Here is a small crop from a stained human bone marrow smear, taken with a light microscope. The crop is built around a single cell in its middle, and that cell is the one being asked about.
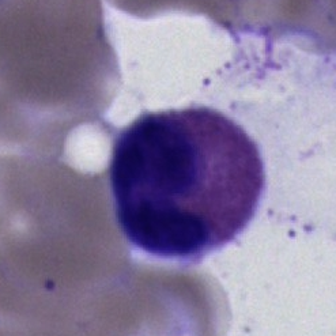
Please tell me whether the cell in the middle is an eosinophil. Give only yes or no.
yes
